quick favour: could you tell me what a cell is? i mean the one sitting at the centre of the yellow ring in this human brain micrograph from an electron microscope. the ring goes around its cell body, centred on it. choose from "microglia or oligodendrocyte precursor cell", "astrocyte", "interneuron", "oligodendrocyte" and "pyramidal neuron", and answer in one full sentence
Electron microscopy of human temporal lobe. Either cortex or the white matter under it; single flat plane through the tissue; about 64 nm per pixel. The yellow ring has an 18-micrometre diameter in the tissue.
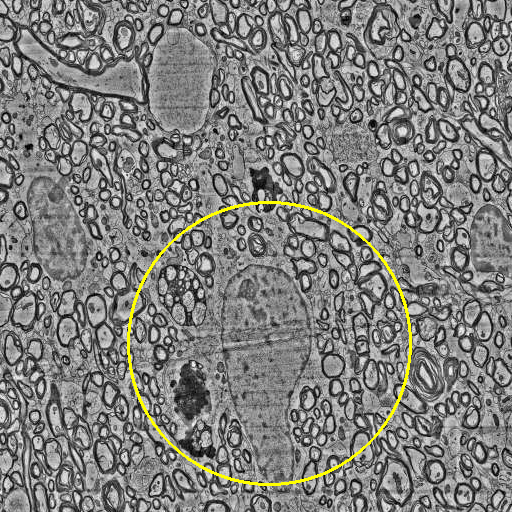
That's an astrocyte, the cell sitting at the centre of the yellow ring.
